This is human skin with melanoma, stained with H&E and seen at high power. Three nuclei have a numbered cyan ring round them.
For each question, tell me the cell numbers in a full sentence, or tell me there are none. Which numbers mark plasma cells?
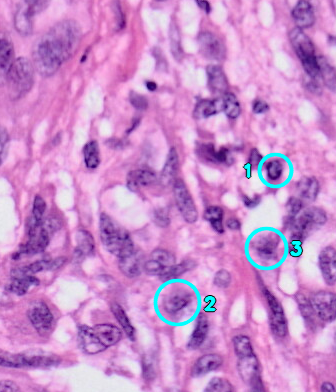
Being a plasma cell is true of cell 1 and of no other numbered cell.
